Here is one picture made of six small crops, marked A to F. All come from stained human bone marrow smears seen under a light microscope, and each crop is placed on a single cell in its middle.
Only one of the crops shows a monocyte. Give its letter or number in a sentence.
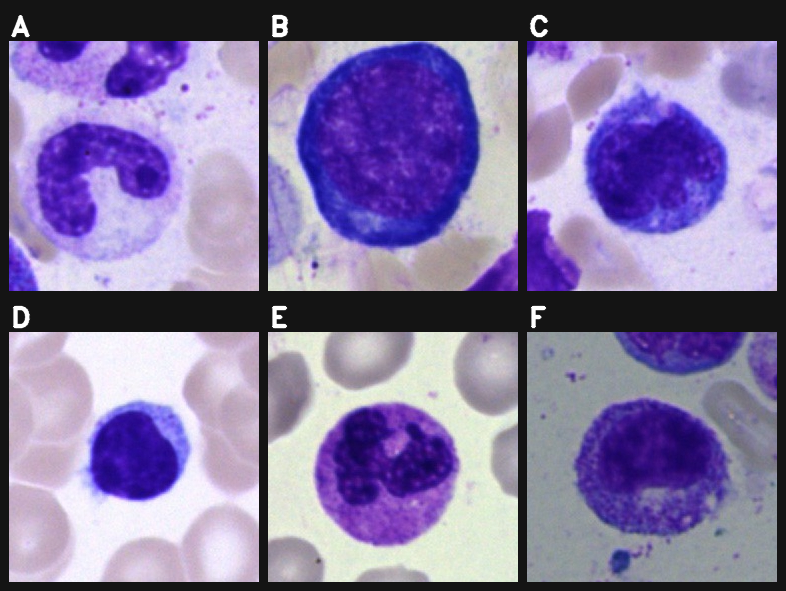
Within this set, crop C is the one with a monocyte at its center.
